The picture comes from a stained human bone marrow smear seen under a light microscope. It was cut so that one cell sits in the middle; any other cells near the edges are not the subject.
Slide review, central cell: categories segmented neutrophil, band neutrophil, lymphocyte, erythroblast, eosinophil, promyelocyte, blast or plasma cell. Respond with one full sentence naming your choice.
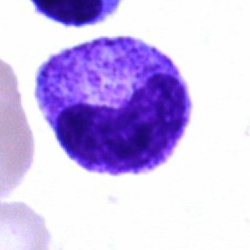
In the middle of this smear crop, the cell is a band neutrophil.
